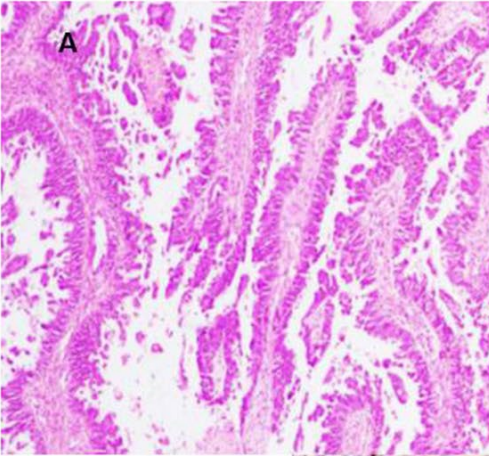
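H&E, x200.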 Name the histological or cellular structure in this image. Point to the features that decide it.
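Branching finger-like fronds with pale stromal cores. Fronds are lined by crowded, stratified epithelial cells. Slit-like empty spaces separate the fronds.
Conclusion: papillary structures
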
